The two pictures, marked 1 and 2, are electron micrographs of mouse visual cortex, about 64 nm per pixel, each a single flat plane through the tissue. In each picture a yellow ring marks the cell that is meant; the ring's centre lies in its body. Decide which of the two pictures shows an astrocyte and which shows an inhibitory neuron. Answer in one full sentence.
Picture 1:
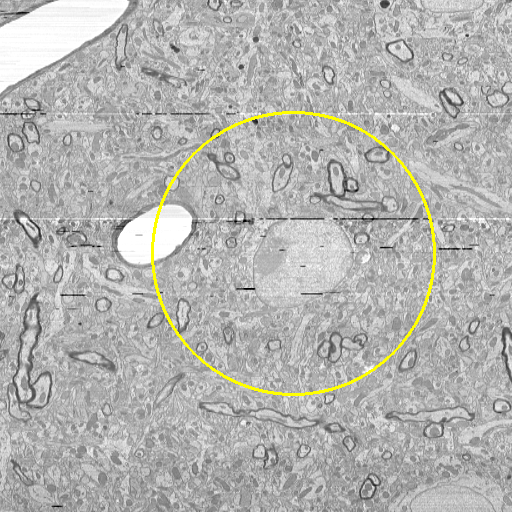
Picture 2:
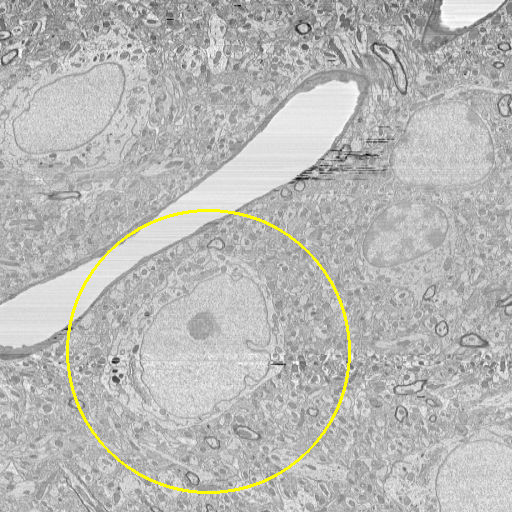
Picture 2 shows an inhibitory neuron, while picture 1 shows an astrocyte.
